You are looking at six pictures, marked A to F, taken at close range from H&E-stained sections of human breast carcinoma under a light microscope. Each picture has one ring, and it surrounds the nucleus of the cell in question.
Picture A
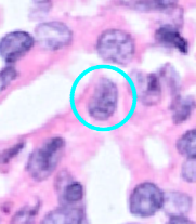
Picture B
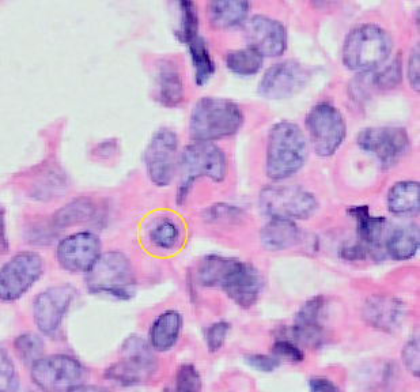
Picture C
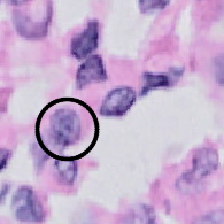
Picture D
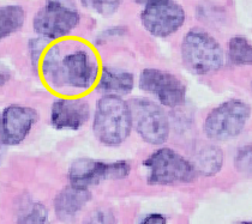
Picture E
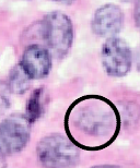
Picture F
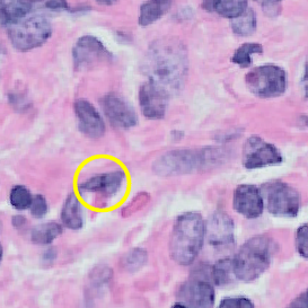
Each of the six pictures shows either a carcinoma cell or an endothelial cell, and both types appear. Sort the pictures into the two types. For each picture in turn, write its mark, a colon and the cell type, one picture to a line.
A: carcinoma cell
B: endothelial cell
C: carcinoma cell
D: carcinoma cell
E: carcinoma cell
F: endothelial cell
